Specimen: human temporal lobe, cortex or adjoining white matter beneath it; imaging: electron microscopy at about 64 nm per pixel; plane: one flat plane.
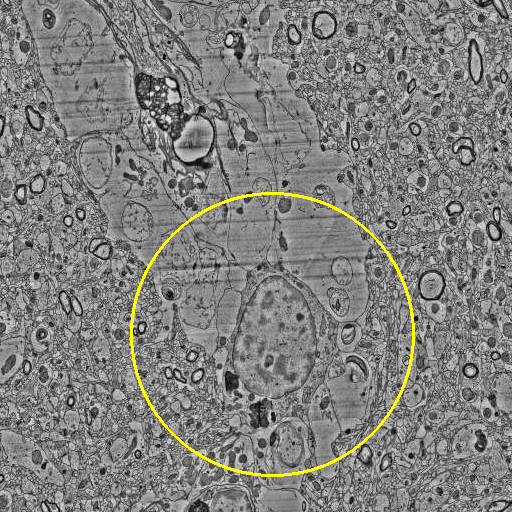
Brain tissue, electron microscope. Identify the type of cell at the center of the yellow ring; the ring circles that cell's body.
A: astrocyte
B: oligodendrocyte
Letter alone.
B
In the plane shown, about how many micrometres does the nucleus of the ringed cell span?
Approximately 8 micrometres long and 5 micrometres wide, in this plane.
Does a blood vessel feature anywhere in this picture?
Yes, one is visible.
